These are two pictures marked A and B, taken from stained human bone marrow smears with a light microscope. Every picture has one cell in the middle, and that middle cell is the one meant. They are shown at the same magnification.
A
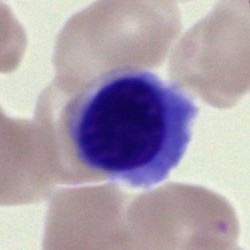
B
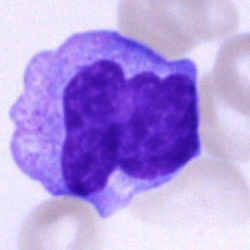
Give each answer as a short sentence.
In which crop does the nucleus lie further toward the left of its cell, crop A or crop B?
The nucleus in crop A lies further toward the left of its cell.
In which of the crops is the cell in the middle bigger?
Crop B holds the larger cell; it covers about 2.5 times the area of the cell in crop A.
